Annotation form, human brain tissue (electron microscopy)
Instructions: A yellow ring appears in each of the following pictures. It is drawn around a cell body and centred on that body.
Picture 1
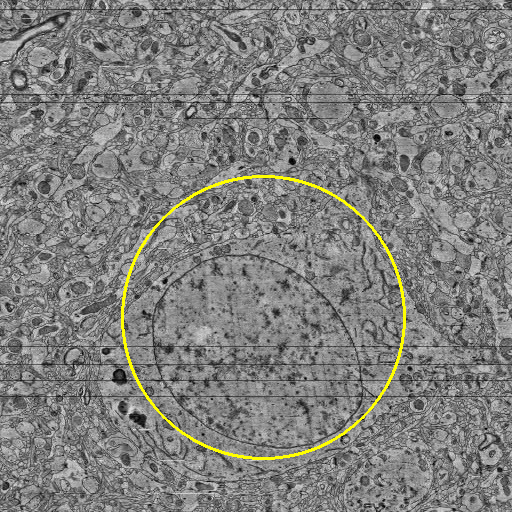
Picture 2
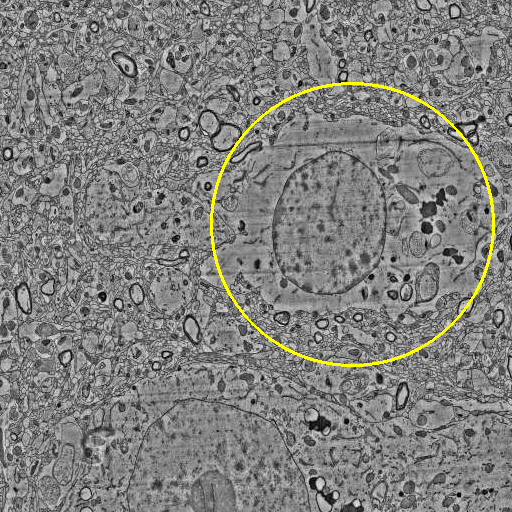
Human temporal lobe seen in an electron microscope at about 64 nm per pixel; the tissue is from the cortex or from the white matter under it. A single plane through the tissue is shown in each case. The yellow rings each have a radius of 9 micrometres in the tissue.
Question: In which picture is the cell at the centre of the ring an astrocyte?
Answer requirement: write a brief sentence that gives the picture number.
The cell at the centre of the ring in Picture 2 is the one asked for.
